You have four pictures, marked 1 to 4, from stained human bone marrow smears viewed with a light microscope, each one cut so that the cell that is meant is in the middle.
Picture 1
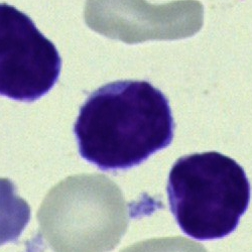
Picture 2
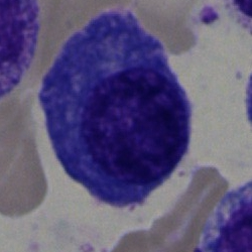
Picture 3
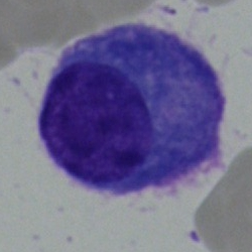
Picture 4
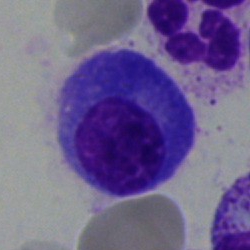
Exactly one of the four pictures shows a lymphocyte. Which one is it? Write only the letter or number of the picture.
1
